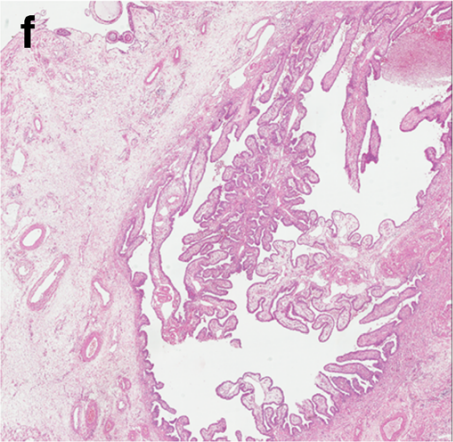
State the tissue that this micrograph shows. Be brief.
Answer: Tubal wall.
